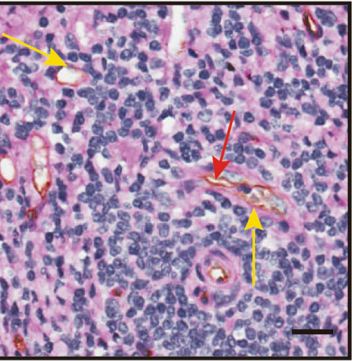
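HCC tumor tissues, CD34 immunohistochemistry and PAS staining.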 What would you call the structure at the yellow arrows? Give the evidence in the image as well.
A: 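Endothelium-dependent vessels. The yellow arrows point to small open lumens within the tumor tissue. These lumens are lined by a thin brown-stained layer. Pink-stained material surrounds the lumens.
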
